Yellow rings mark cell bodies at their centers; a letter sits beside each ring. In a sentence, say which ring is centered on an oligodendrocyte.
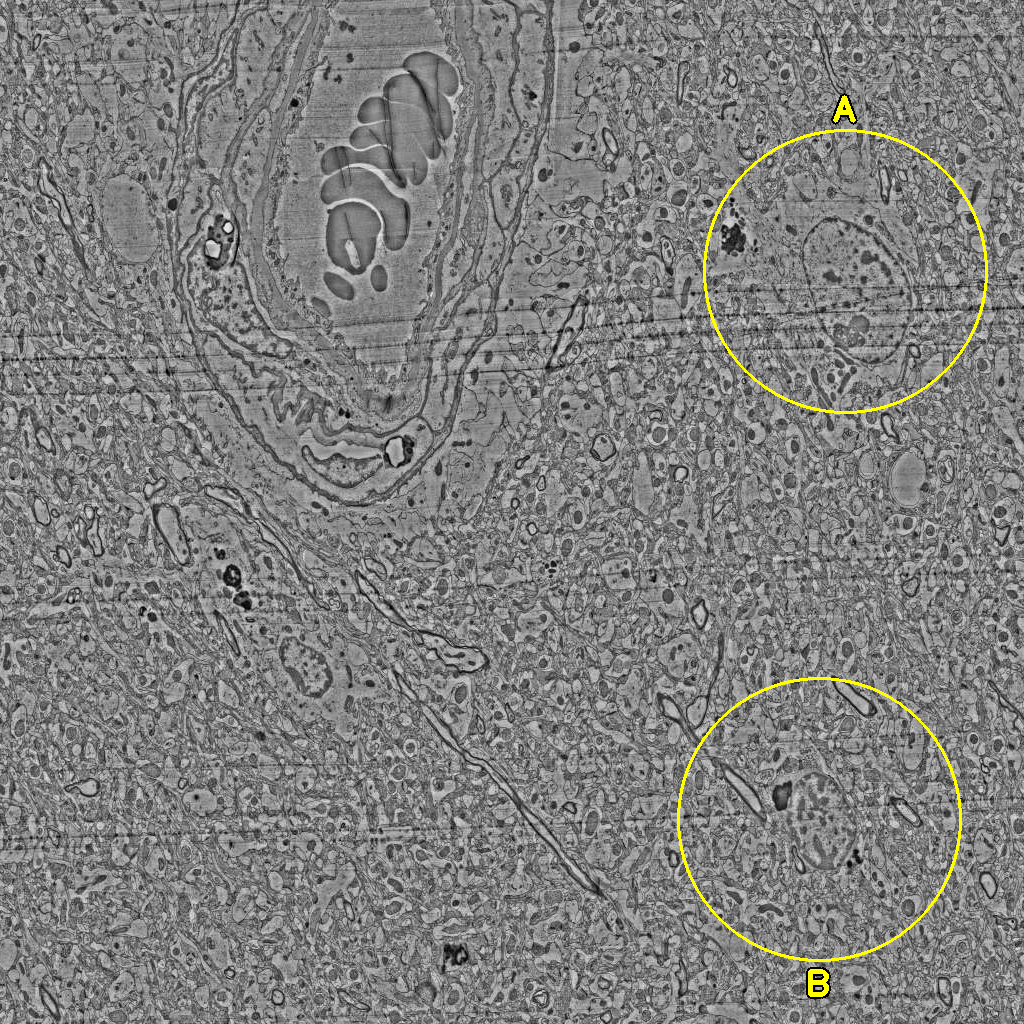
It is ring B.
